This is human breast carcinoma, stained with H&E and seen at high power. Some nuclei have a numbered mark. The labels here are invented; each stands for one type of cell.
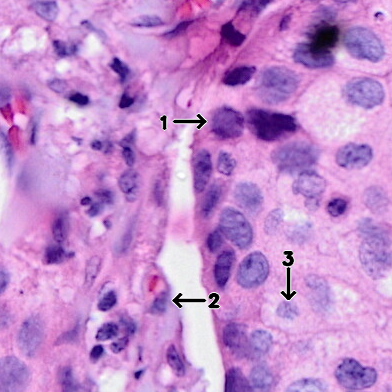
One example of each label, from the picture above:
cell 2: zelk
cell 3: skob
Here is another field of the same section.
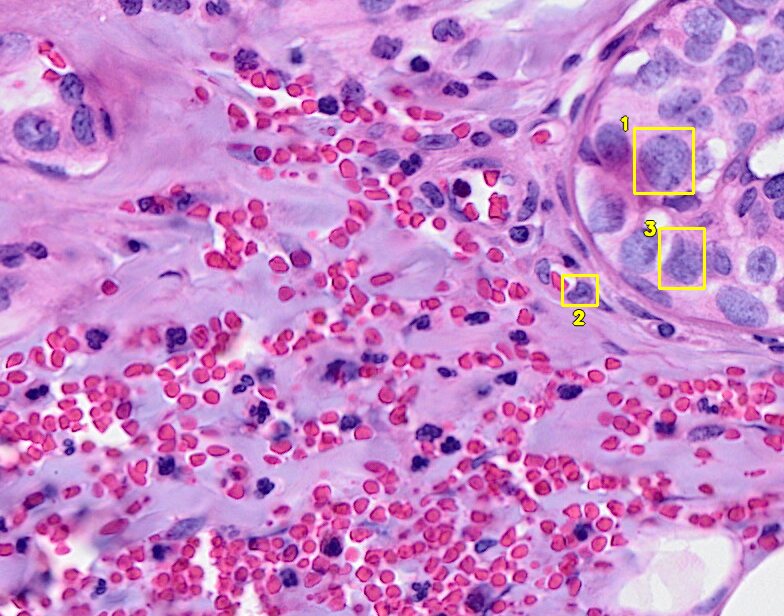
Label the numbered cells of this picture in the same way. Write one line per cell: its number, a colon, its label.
1: skob
2: zelk
3: skob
